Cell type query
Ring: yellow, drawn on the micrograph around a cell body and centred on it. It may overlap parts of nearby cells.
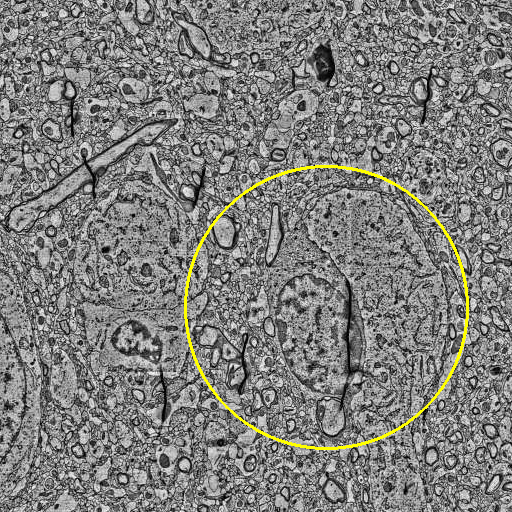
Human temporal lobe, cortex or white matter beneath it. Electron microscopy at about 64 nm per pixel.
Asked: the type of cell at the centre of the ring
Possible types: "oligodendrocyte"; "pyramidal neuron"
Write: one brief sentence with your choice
The ring marks an oligodendrocyte.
